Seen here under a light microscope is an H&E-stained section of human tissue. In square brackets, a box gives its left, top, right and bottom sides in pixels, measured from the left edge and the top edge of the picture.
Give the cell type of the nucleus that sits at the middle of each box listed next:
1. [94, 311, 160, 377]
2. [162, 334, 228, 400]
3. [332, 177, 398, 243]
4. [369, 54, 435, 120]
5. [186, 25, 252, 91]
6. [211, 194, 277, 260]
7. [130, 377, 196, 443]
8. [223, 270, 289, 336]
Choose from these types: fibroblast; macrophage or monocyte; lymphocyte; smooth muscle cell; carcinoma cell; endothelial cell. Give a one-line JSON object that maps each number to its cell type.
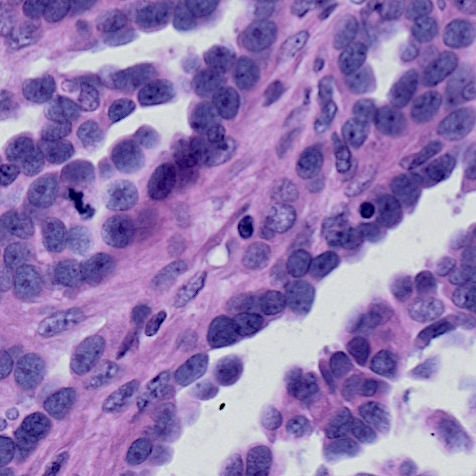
{"1": "fibroblast", "2": "carcinoma cell", "3": "lymphocyte", "4": "carcinoma cell", "5": "carcinoma cell", "6": "lymphocyte", "7": "carcinoma cell", "8": "carcinoma cell"}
